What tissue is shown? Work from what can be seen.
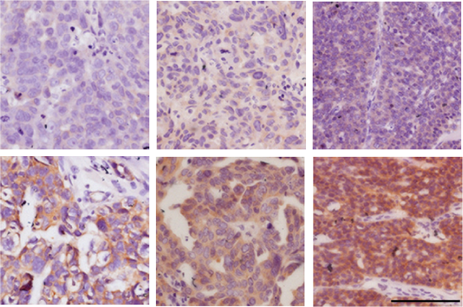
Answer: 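Sheets of densely packed cells with large, crowded nuclei. Little orderly architecture of a normal tissue. Thin strands of stroma run between cell masses.
Answer: tumor specimens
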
